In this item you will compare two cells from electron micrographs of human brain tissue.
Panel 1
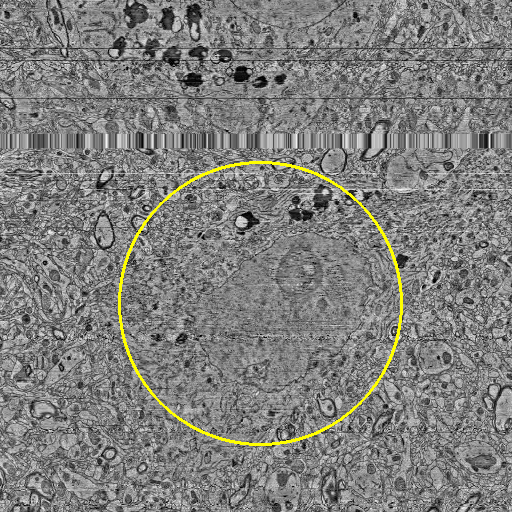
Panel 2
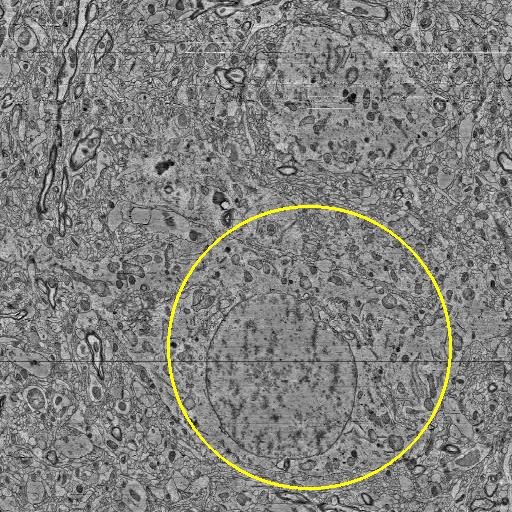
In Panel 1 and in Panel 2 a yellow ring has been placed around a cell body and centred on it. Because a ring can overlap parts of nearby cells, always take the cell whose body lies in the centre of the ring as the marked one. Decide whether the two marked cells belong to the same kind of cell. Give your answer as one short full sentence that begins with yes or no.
No, the two marked cells belong to two kinds of cell.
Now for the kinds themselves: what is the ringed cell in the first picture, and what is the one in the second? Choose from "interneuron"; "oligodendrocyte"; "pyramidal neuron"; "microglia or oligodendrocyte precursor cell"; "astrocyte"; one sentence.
Here the first cell is a pyramidal neuron and the second cell is an interneuron.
